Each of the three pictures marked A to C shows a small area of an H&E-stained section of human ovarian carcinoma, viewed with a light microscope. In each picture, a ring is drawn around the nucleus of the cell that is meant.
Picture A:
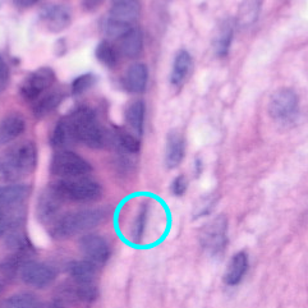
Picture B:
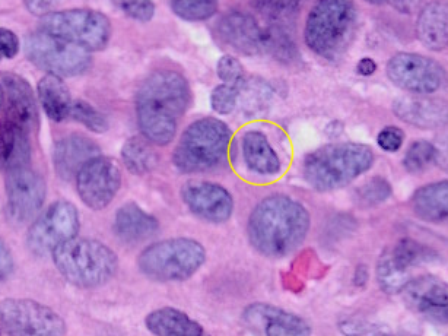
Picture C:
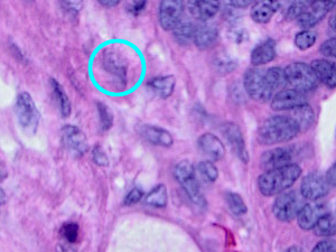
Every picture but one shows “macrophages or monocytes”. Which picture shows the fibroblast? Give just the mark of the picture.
C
